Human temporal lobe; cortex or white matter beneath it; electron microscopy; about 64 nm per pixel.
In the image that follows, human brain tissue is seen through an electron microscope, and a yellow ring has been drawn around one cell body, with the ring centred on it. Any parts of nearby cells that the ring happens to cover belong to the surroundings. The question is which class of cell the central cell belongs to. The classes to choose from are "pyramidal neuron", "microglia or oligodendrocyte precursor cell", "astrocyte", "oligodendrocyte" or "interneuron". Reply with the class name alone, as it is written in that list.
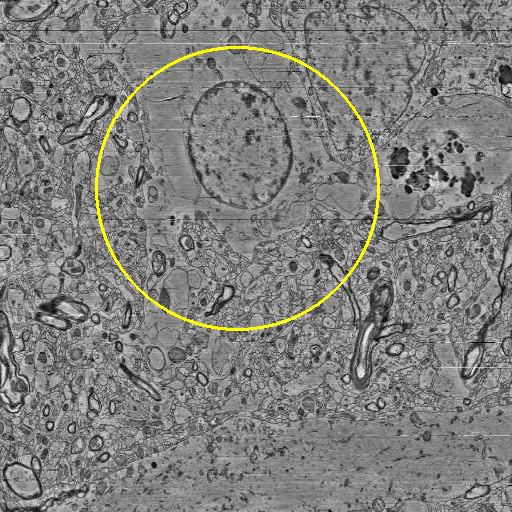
astrocyte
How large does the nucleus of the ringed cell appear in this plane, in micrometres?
Roughly 9 by 6 micrometres in this plane, for the nucleus of the ringed cell.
